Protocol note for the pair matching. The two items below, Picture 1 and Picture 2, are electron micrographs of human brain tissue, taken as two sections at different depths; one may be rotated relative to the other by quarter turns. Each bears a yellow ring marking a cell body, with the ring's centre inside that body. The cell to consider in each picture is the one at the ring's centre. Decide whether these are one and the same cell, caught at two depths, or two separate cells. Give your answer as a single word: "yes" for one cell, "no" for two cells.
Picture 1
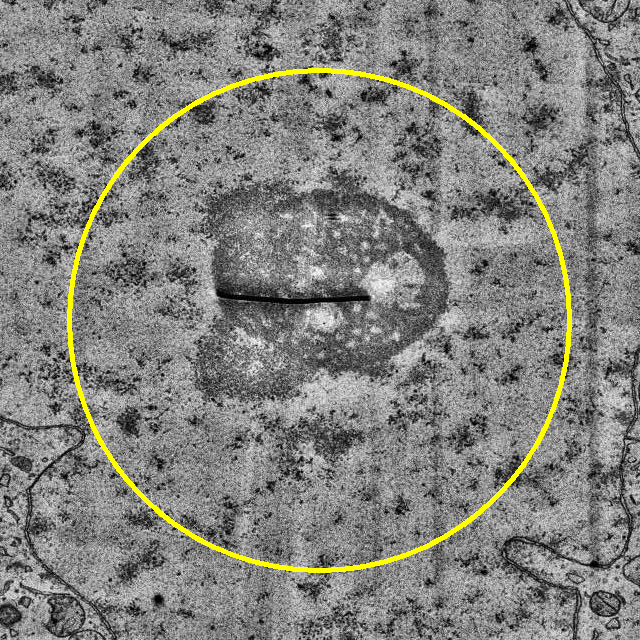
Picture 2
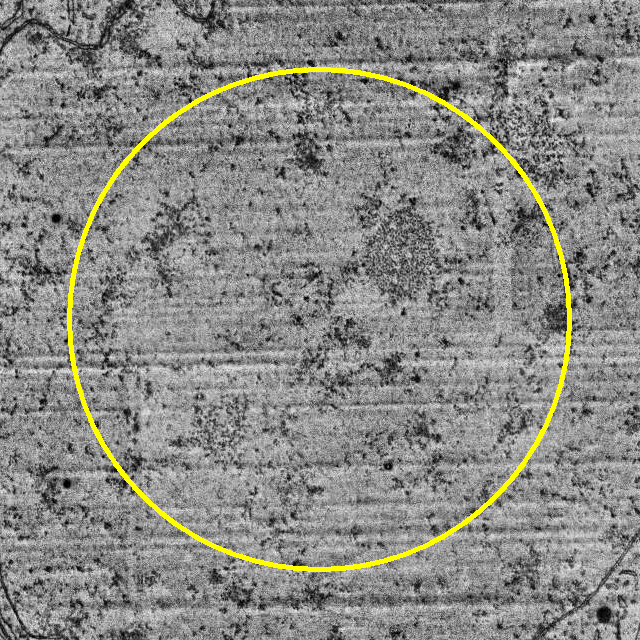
yes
